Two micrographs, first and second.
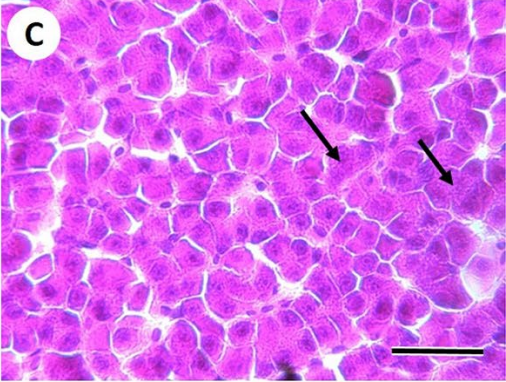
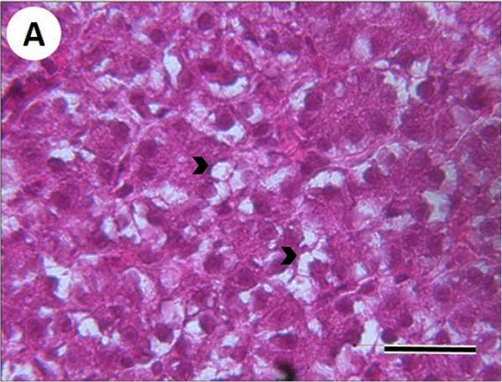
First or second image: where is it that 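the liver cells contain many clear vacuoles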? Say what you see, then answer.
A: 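First image: compact polygonal cells with evenly pink cytoplasm and few clear spaces. Second image: many white empty spaces scattered among and within the cells.
Hence: the second image.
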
